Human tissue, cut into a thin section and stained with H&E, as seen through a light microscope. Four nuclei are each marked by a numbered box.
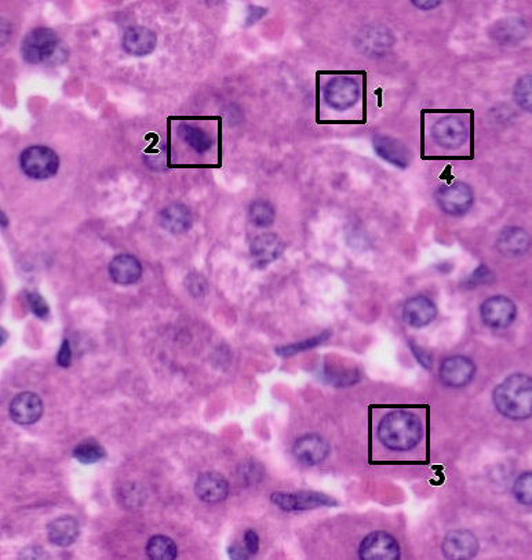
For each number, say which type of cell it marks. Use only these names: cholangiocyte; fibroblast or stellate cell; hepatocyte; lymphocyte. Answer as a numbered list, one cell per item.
1. hepatocyte
2. fibroblast or stellate cell
3. hepatocyte
4. hepatocyte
